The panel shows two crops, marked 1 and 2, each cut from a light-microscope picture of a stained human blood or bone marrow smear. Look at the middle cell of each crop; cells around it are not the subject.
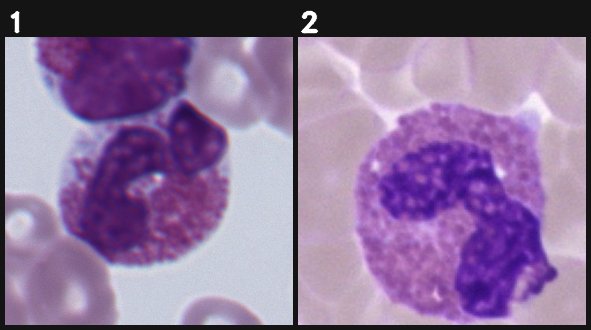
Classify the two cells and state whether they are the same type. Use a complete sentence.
Yes, both crops in the pair show eosinophils.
